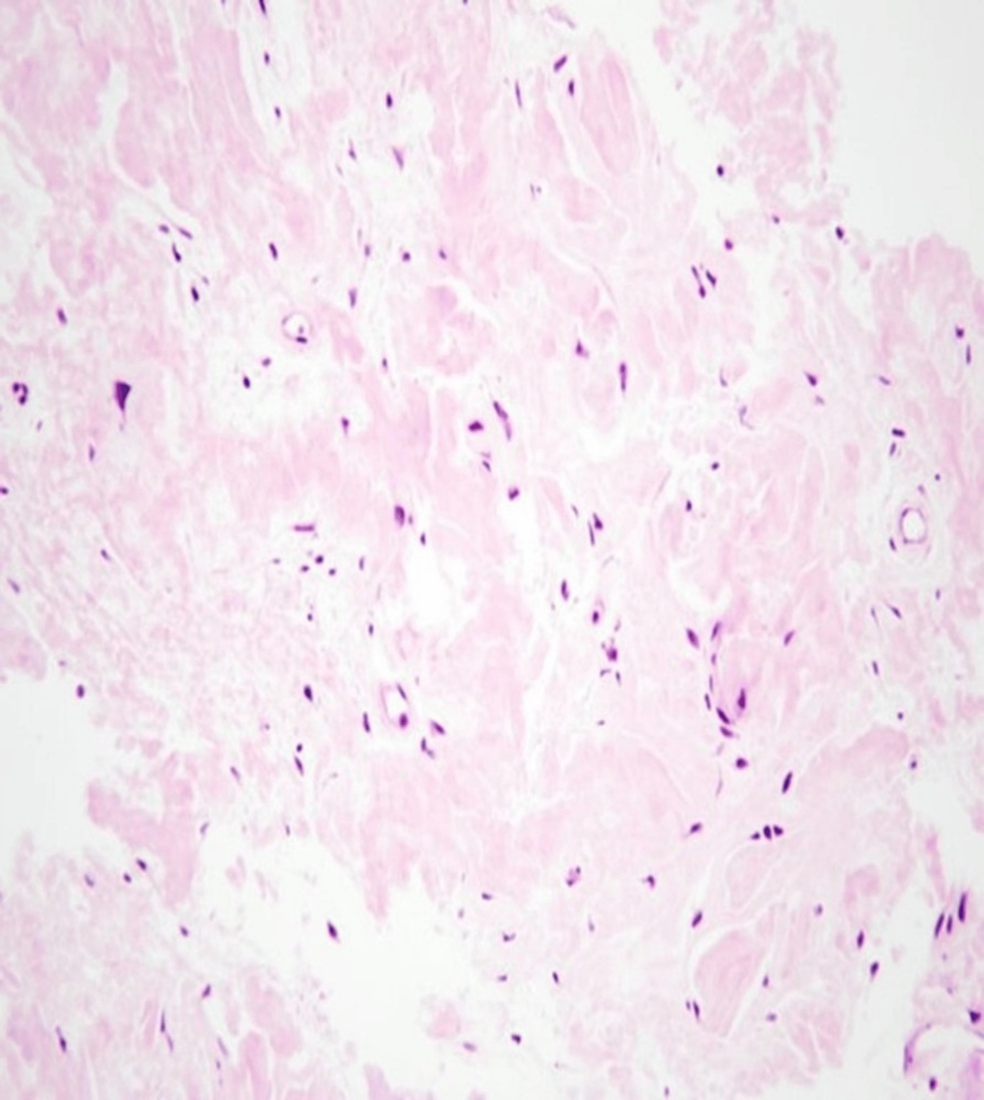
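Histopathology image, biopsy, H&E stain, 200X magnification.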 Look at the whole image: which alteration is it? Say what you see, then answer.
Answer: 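Eosinophilic material with an amorphous, glassy appearance. Most of the field is pale pink, structureless material. The pink material has a smooth, glassy look without fibrillar organisation. Only scattered small dark nuclei lie within the pink material.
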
